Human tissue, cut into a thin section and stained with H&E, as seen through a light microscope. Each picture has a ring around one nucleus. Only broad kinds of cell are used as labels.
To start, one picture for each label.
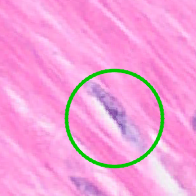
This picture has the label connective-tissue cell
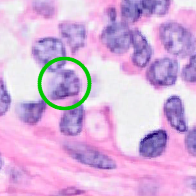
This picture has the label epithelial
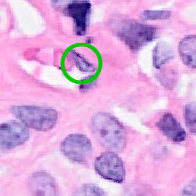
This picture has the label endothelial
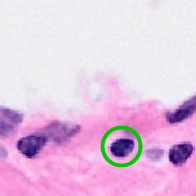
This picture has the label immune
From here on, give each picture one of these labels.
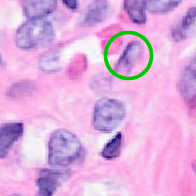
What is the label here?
endothelial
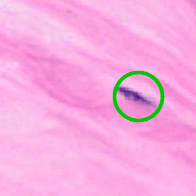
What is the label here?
connective-tissue cell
